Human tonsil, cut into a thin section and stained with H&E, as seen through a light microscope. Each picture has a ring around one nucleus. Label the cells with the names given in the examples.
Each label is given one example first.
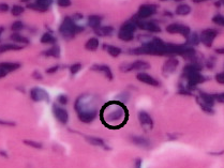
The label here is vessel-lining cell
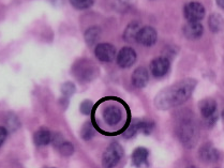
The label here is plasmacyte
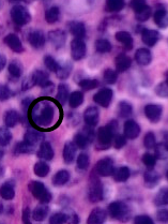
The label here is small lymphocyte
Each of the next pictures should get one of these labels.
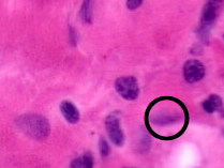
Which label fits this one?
vessel-lining cell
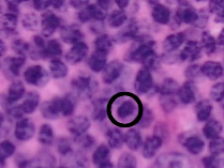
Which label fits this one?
small lymphocyte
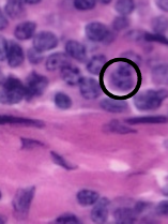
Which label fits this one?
plasmacyte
